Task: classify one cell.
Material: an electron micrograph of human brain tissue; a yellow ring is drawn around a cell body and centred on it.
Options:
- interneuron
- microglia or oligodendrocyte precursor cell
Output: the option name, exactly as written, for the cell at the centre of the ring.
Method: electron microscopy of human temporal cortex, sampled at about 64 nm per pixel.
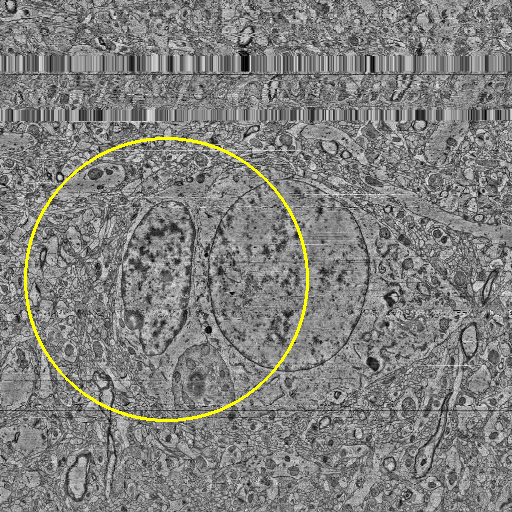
microglia or oligodendrocyte precursor cell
